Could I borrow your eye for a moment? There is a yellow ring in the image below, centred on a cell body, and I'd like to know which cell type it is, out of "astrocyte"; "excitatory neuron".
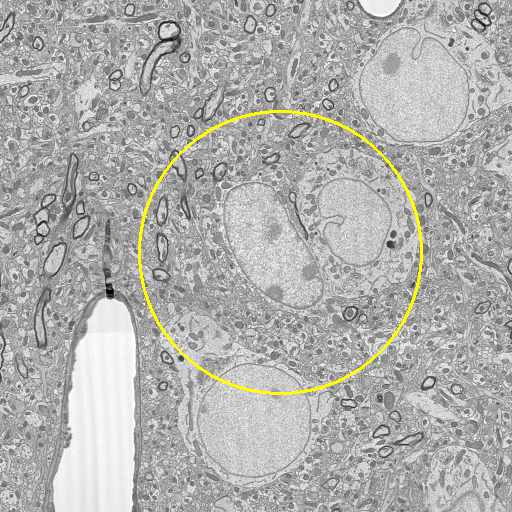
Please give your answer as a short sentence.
The cell body at the centre is that of an astrocyte.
